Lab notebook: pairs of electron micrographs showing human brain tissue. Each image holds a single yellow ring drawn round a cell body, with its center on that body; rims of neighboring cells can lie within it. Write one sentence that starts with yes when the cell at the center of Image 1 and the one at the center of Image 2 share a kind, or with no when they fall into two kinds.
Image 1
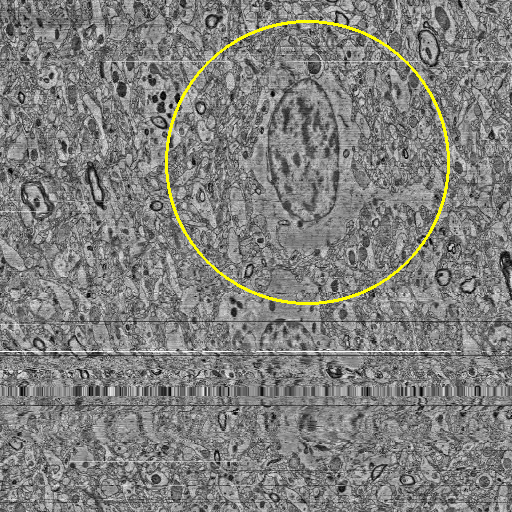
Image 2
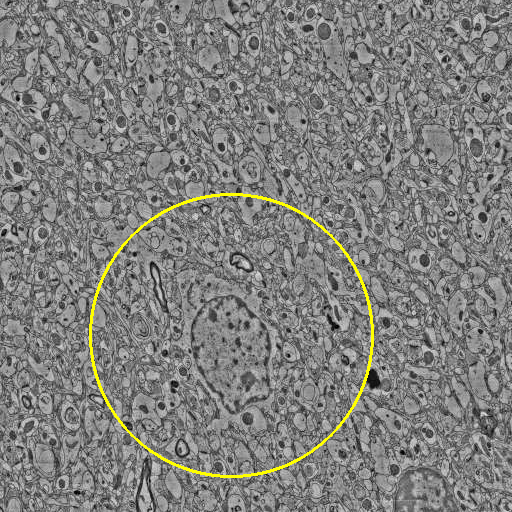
Yes, the centered cell in Image 1 and the centered cell in Image 2 are of one kind.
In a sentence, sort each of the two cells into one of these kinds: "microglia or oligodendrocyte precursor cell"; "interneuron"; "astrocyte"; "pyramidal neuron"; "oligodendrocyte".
In both pictures the ring is centred on an astrocyte.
